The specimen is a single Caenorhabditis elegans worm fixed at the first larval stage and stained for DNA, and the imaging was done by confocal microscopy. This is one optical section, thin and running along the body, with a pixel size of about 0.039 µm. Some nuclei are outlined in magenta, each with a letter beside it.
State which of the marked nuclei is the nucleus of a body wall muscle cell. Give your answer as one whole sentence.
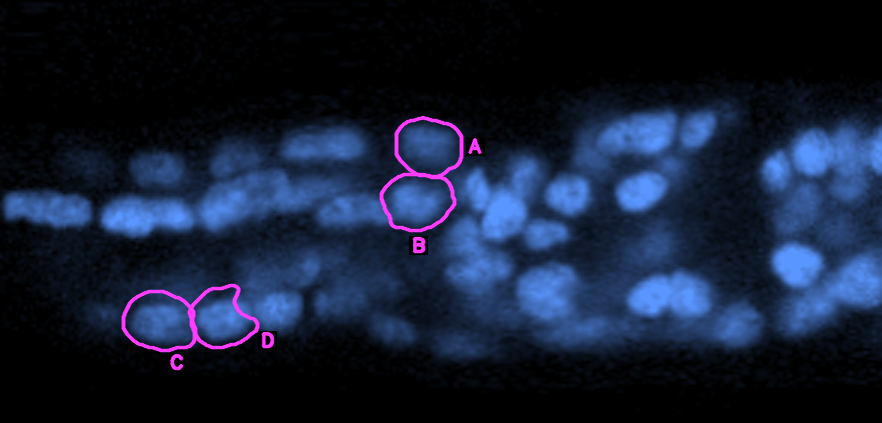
A is the one that belongs to a body wall muscle cell.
